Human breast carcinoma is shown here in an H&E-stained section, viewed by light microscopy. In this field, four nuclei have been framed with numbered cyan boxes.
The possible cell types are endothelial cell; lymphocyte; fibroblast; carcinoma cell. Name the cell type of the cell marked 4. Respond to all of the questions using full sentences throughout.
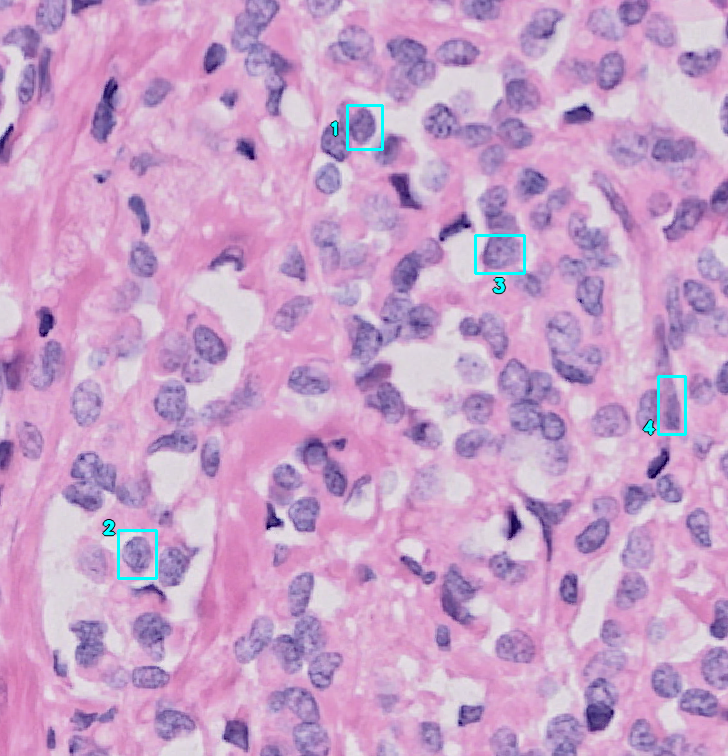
The cell with the number 4 is an endothelial cell.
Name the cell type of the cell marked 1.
The cell that carries the label 1 is a carcinoma cell.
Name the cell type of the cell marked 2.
Among the marked cells, number 2 is a carcinoma cell.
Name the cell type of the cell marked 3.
Cell 3 is classified as a carcinoma cell.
